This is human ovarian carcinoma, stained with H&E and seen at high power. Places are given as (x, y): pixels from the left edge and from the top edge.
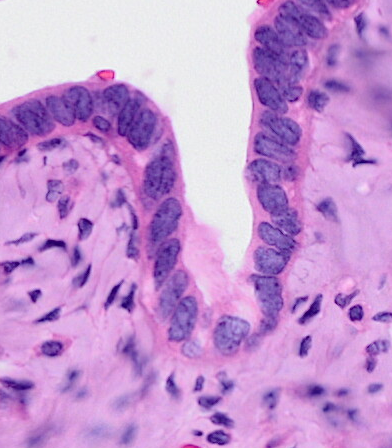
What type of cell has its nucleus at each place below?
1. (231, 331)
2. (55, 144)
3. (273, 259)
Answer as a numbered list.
1. carcinoma cell
2. fibroblast
3. carcinoma cell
